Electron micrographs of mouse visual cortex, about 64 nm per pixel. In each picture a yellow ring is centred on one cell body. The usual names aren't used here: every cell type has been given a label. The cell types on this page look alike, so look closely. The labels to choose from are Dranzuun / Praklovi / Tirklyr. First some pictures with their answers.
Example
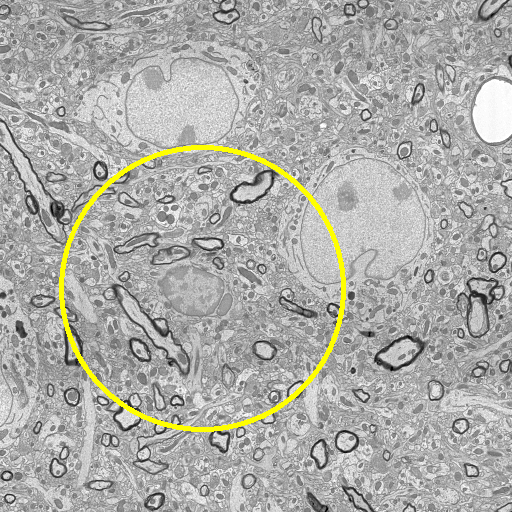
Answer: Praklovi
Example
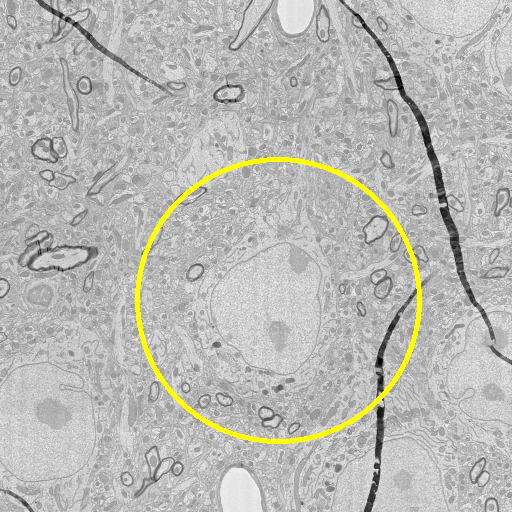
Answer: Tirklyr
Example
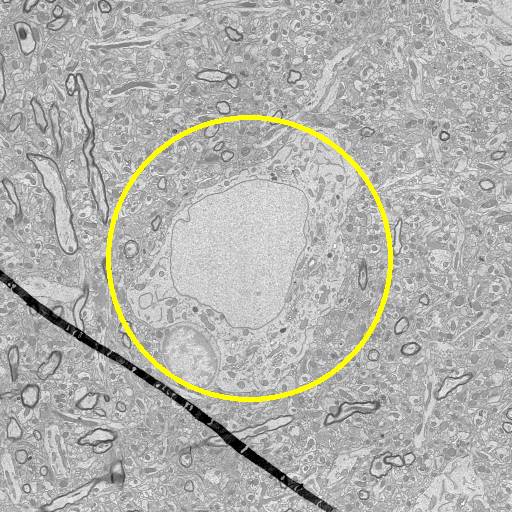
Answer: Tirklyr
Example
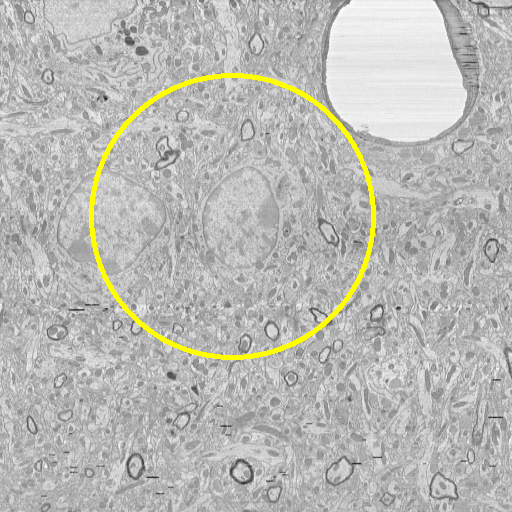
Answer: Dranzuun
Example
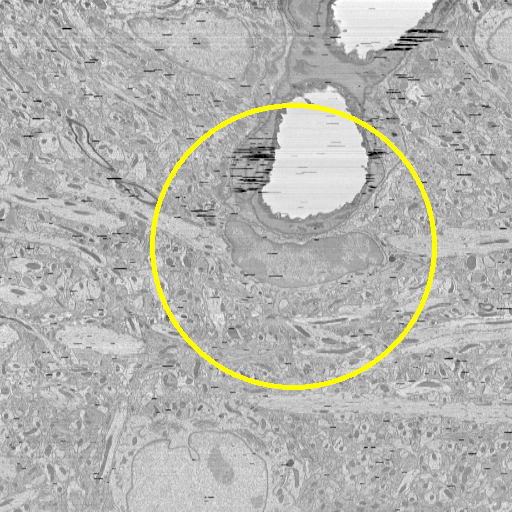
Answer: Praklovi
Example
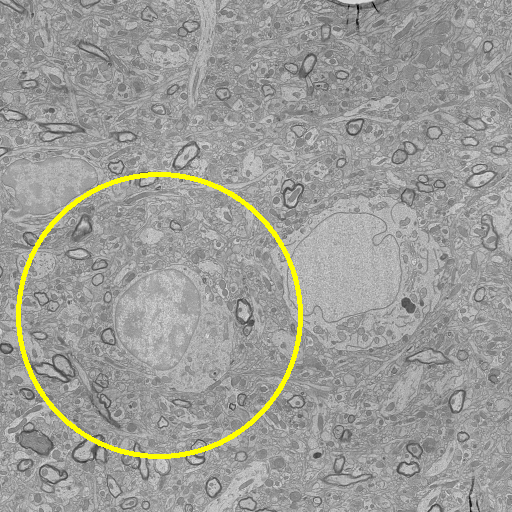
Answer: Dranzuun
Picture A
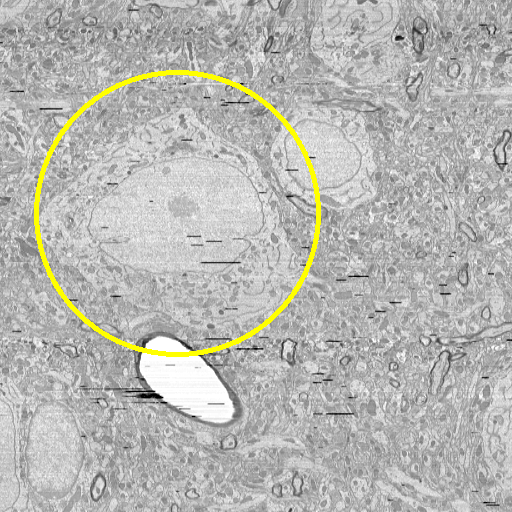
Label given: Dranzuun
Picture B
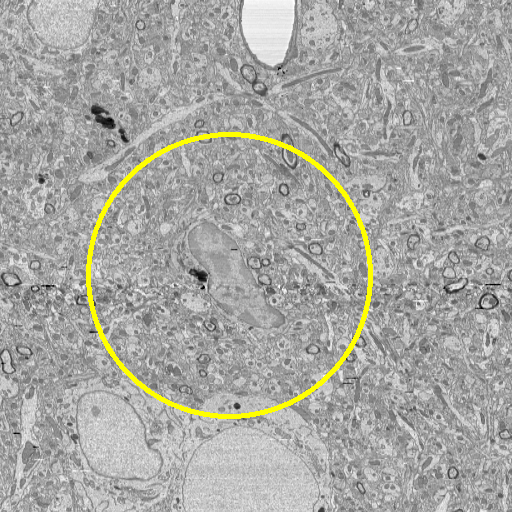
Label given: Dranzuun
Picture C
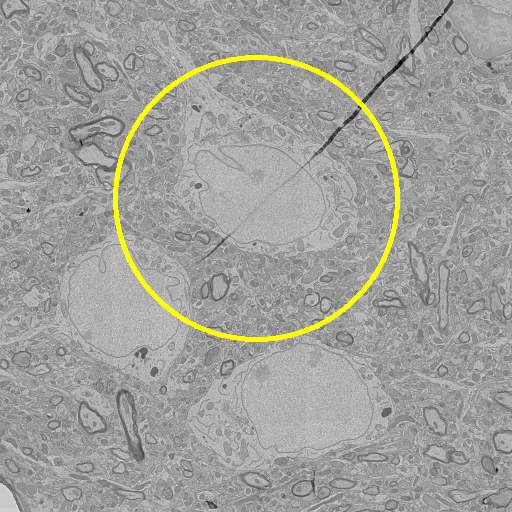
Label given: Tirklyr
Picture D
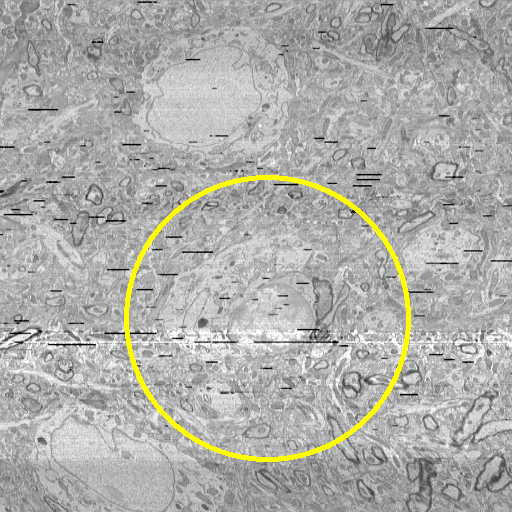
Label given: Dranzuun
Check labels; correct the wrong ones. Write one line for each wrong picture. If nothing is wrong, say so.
A: Tirklyr, not Dranzuun
B: Praklovi, not Dranzuun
